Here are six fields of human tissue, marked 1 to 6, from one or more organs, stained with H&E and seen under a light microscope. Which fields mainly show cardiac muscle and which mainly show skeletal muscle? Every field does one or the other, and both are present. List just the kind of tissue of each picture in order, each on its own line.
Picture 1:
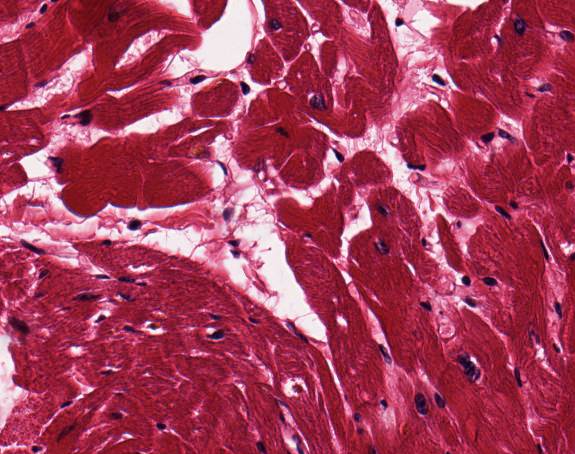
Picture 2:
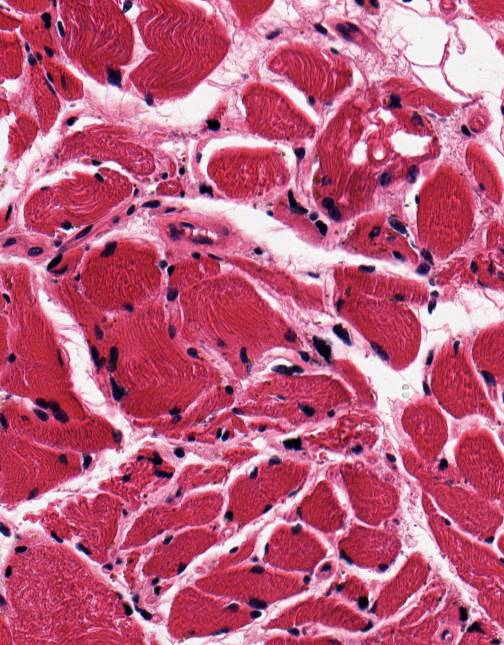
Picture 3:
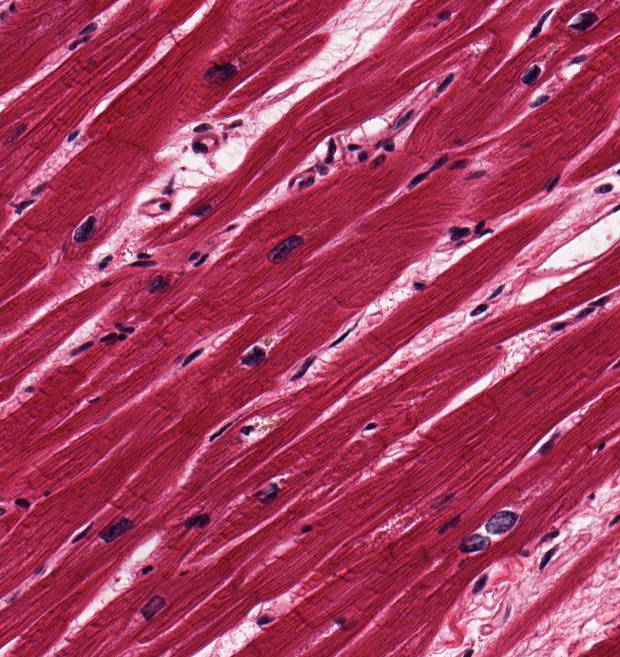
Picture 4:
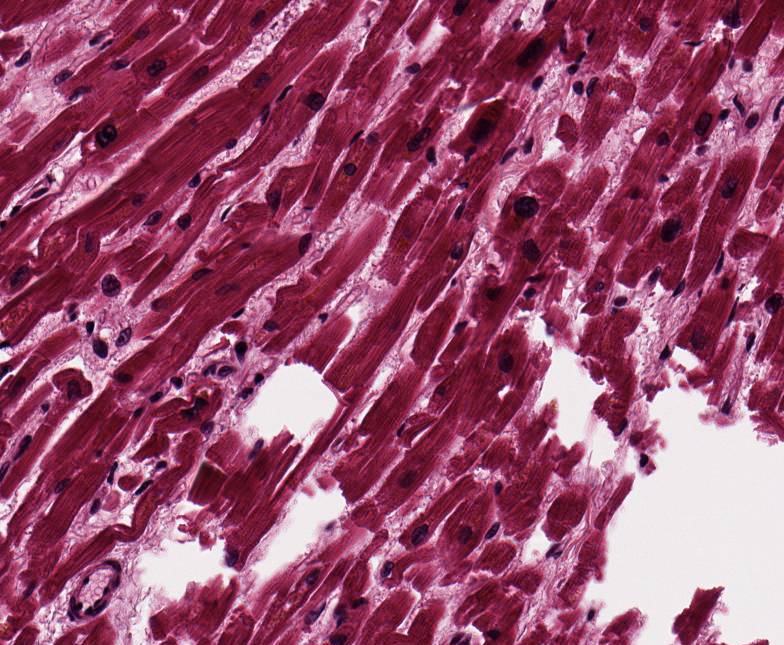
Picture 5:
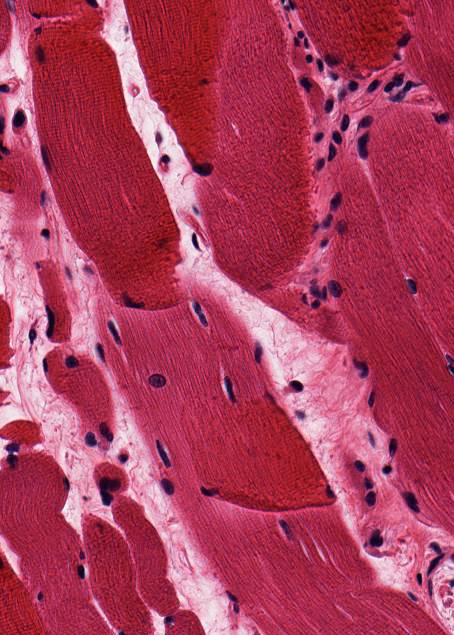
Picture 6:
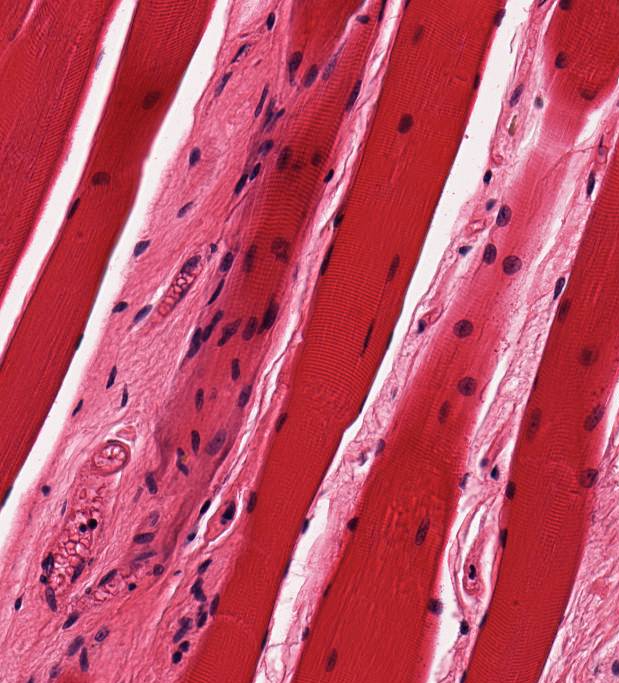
cardiac muscle
skeletal muscle
cardiac muscle
cardiac muscle
skeletal muscle
skeletal muscle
